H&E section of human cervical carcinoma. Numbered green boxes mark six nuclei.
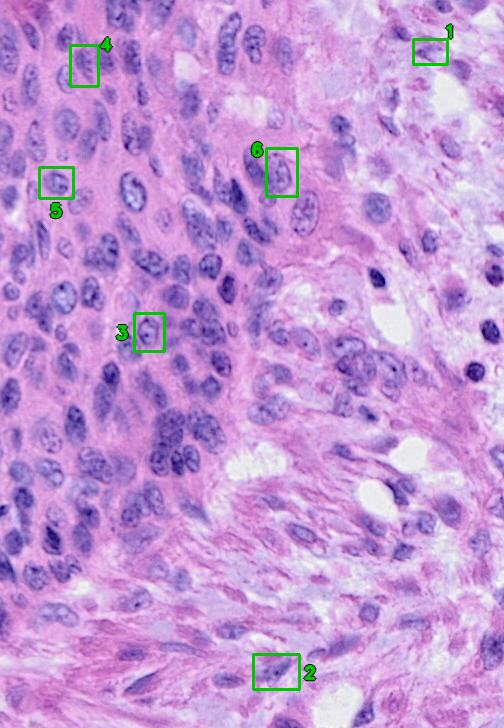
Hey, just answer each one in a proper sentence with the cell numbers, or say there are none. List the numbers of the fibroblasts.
Regarding the numbered cells 1 and 2, these are fibroblasts.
